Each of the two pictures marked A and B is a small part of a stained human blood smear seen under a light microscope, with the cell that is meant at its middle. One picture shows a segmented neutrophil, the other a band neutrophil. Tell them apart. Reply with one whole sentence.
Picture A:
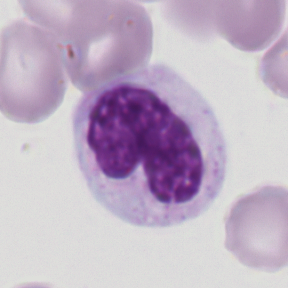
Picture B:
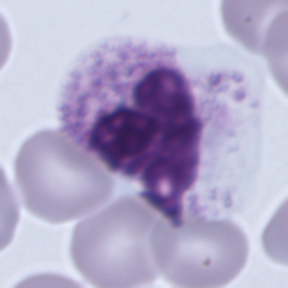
Picture A is of a band neutrophil, and picture B is of a segmented neutrophil.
